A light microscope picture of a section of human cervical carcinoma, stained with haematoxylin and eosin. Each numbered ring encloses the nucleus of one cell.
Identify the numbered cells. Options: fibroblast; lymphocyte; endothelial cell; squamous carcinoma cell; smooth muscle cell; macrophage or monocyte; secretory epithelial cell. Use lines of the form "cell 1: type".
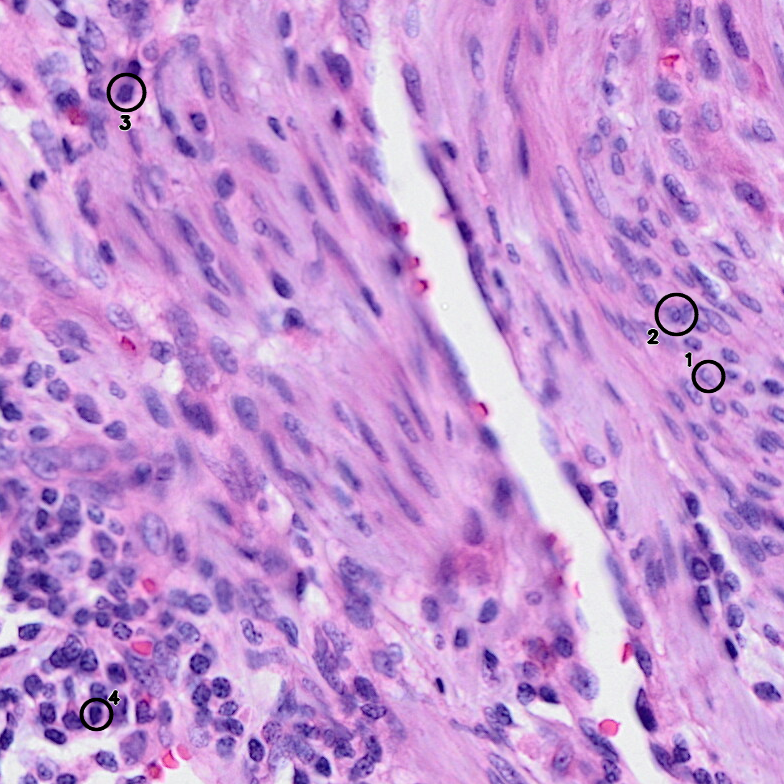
cell 1: smooth muscle cell
cell 2: smooth muscle cell
cell 3: lymphocyte
cell 4: lymphocyte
